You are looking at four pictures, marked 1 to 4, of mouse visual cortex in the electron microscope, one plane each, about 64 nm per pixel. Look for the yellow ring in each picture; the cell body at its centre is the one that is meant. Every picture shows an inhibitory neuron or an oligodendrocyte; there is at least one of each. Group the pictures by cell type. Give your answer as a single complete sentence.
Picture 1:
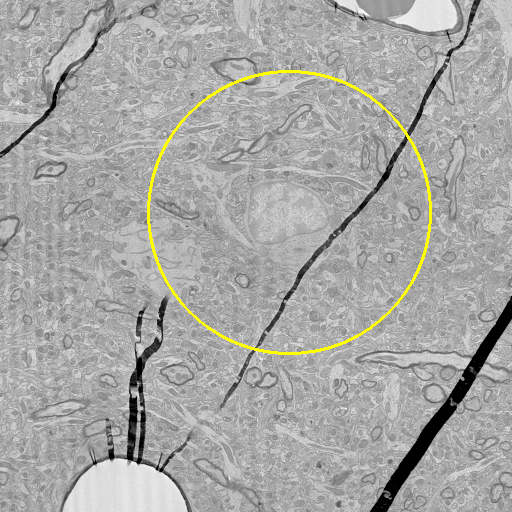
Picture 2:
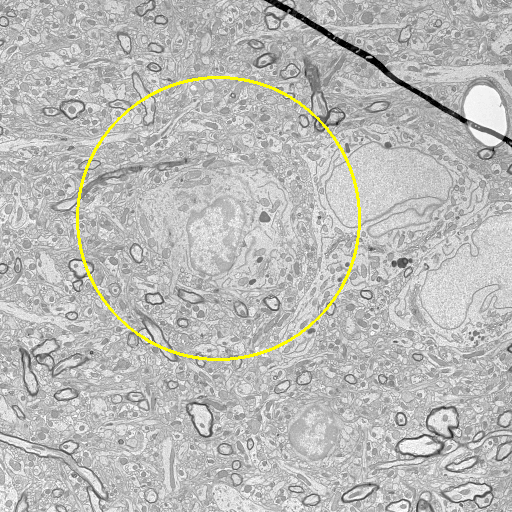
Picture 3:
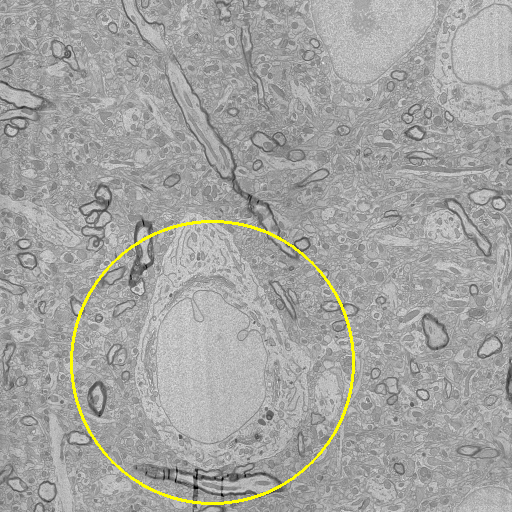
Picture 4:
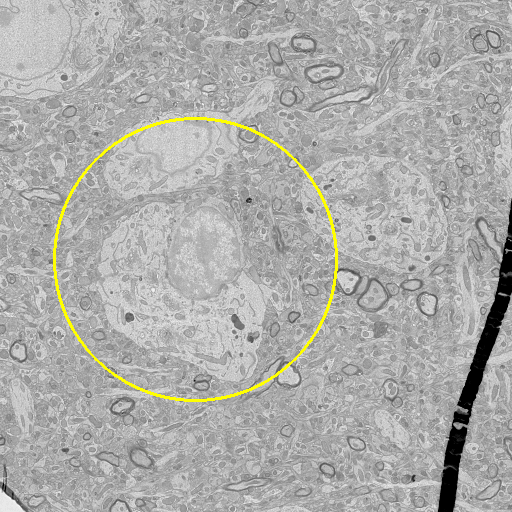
Picture 3 shows an inhibitory neuron; pictures 1, 2 and 4 show oligodendrocytes.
